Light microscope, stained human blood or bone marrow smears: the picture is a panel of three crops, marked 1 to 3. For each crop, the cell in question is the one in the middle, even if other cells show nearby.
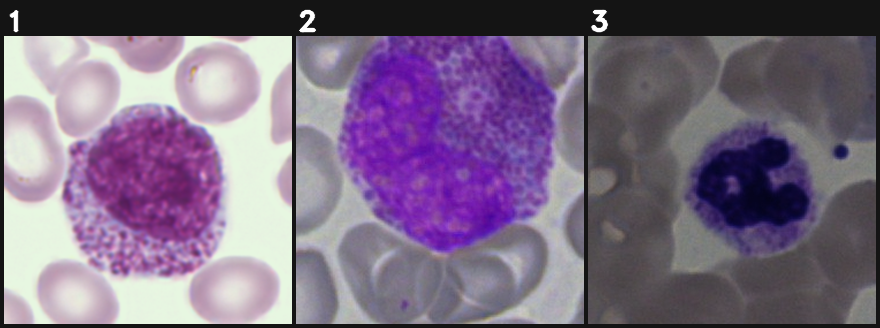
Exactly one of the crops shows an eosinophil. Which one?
2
